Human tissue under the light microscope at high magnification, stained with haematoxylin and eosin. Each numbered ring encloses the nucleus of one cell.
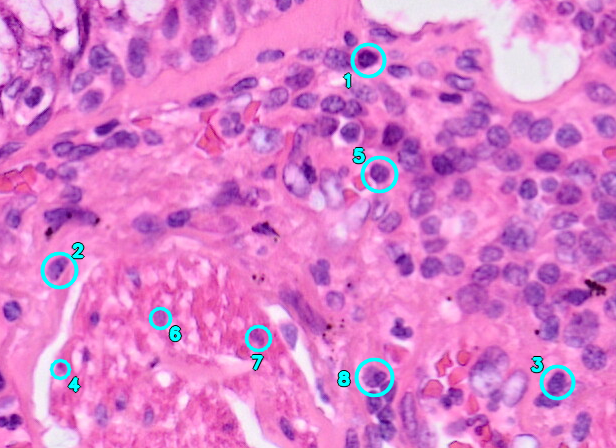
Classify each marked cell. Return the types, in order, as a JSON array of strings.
["plasma cell", "mast cell", "lymphocyte", "smooth muscle cell or pericyte", "lymphocyte", "smooth muscle cell or pericyte", "smooth muscle cell or pericyte", "lymphocyte"]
